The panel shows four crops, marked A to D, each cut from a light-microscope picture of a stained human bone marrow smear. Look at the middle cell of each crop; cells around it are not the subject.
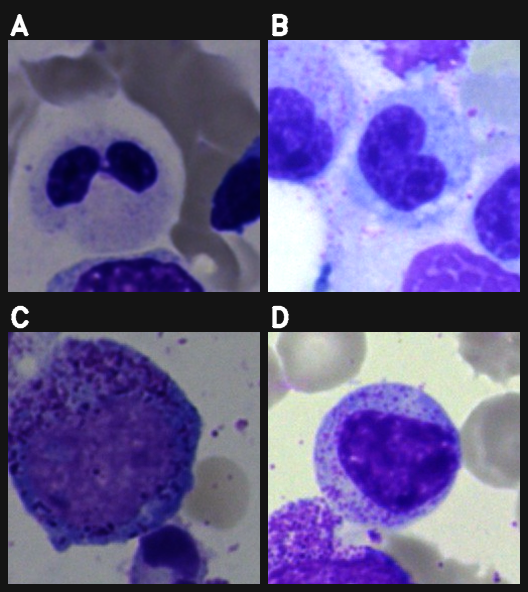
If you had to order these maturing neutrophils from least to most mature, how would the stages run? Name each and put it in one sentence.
Arranged by increasing maturity, the crops are crop C (a promyelocyte), crop D (a myelocyte), crop B (a band neutrophil) and crop A (a segmented neutrophil).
